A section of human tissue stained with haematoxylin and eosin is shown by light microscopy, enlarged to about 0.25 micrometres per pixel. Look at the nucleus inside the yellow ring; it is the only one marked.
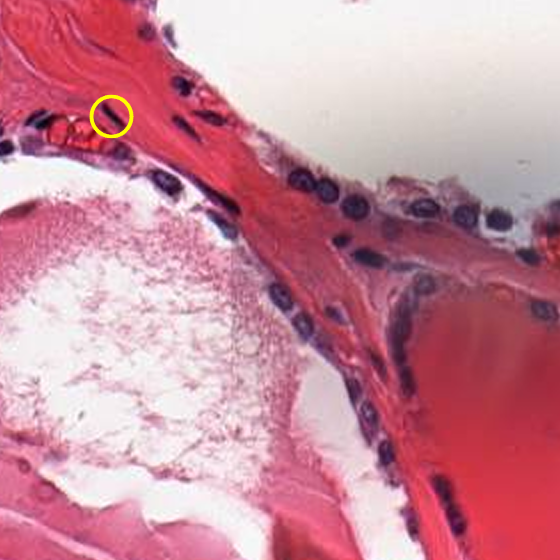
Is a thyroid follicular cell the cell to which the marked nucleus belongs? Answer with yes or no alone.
no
